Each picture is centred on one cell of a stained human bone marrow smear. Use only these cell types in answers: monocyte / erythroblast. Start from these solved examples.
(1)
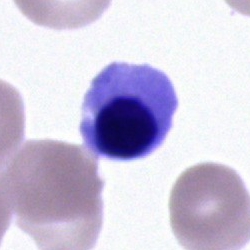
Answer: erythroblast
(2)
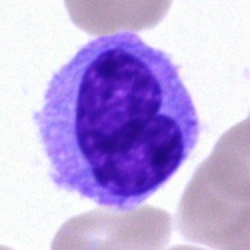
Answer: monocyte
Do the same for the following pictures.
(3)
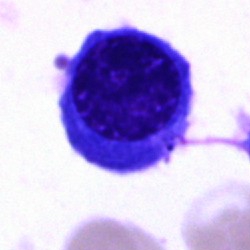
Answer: erythroblast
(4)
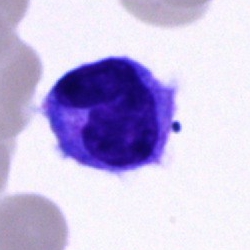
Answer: monocyte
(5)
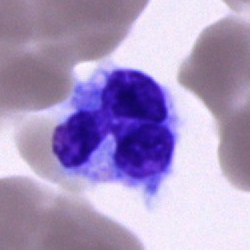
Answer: monocyte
